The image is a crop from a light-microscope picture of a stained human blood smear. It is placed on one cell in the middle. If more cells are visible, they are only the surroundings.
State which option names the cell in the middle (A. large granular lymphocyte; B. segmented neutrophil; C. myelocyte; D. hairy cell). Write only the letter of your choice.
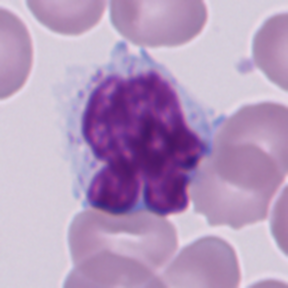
A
